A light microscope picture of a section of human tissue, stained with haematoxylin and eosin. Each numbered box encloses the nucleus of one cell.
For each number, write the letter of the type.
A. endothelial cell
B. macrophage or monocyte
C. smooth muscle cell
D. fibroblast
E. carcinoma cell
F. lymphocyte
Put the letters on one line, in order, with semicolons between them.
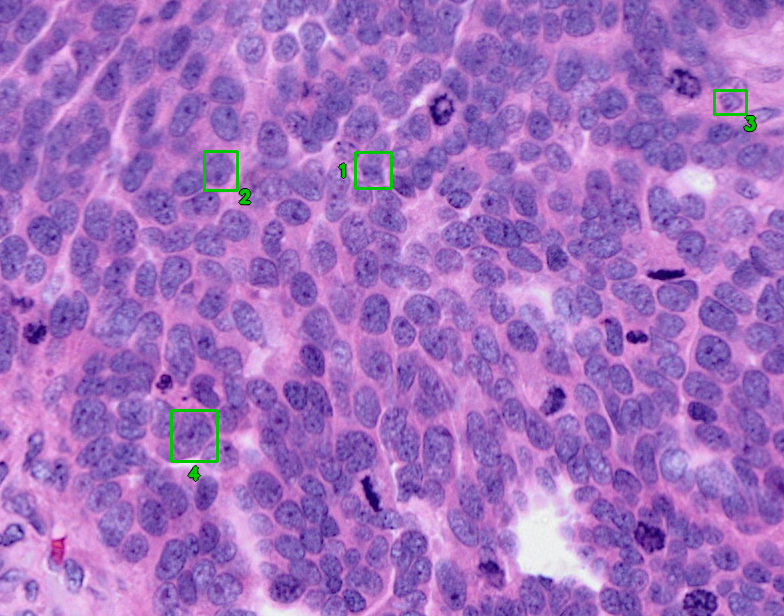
E; E; B; E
